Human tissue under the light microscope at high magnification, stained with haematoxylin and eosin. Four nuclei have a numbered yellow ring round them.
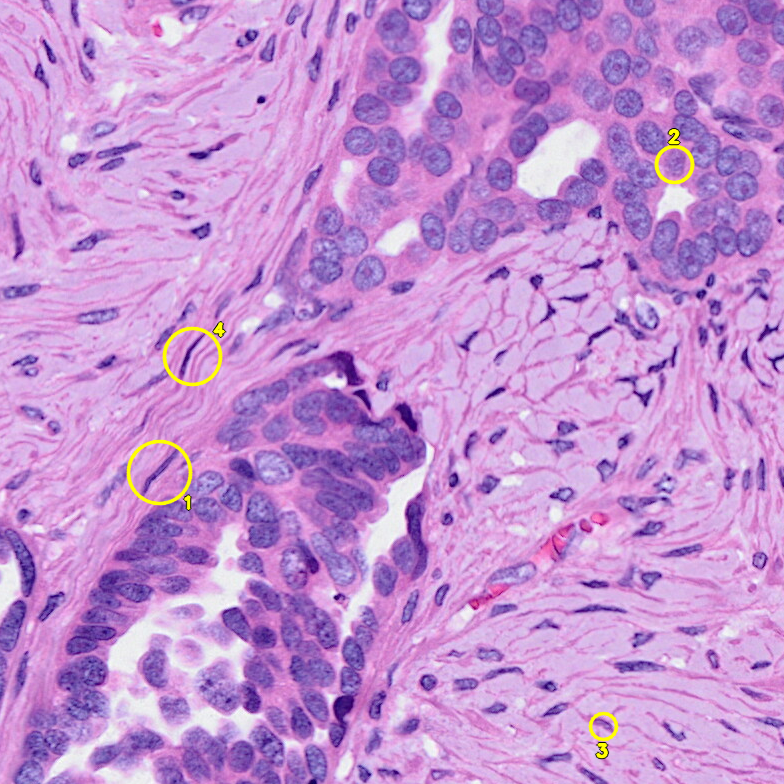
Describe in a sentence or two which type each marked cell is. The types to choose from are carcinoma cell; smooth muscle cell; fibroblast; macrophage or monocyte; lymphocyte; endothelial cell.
Cells 1, 3 and 4 are fibroblasts. Cell 2 is a carcinoma cell.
